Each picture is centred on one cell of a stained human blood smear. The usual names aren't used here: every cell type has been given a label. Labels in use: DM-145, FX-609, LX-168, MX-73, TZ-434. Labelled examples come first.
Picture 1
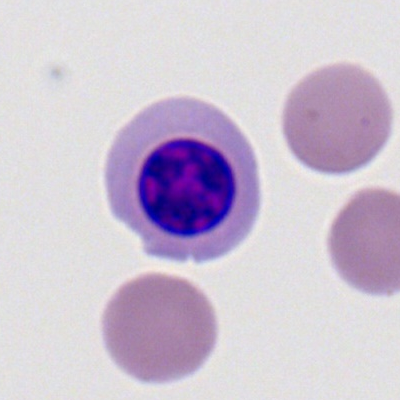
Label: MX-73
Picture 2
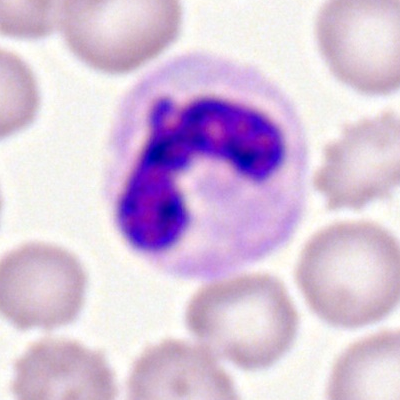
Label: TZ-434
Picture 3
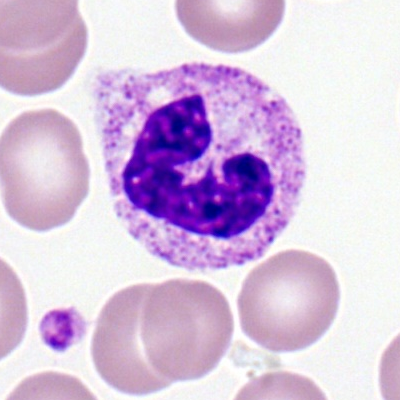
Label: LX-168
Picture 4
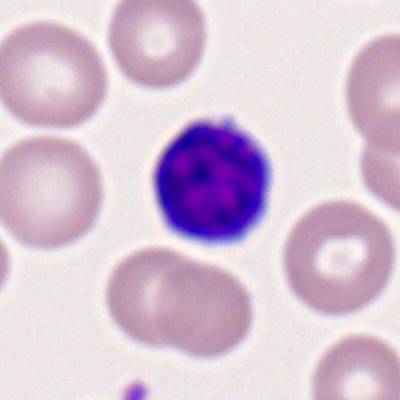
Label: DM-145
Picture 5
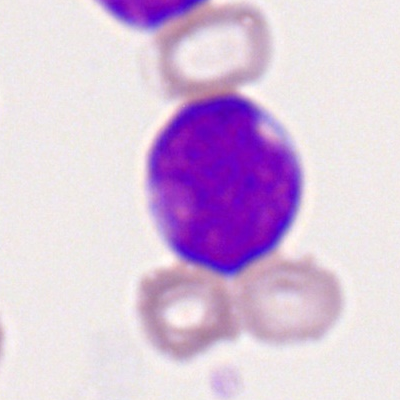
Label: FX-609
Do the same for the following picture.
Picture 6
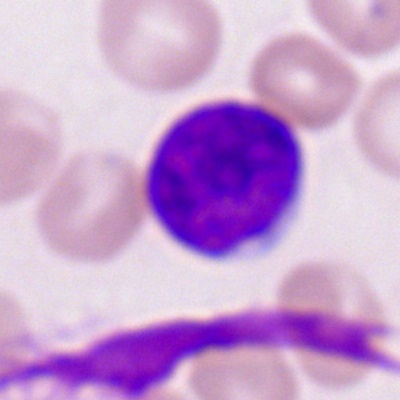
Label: FX-609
